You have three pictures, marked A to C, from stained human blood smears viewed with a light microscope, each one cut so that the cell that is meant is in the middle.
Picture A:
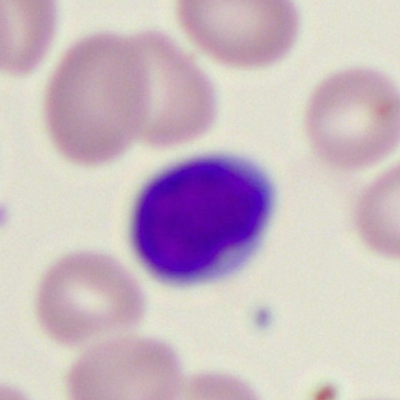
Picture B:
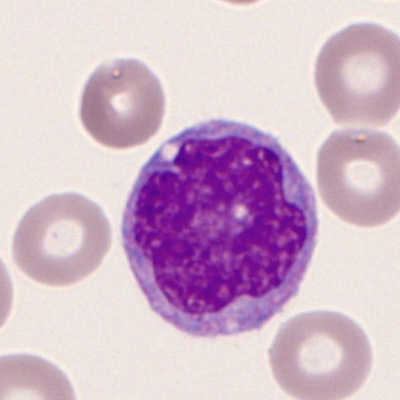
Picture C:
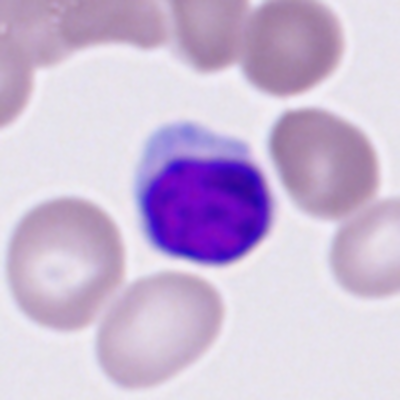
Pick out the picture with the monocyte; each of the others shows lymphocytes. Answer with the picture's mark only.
B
